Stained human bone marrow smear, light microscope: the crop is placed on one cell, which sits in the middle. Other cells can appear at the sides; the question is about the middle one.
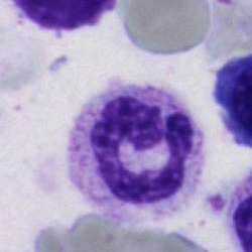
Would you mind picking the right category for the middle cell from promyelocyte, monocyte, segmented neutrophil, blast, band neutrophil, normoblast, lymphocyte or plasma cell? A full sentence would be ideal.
The centrally located cell in the crop is a segmented neutrophil.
